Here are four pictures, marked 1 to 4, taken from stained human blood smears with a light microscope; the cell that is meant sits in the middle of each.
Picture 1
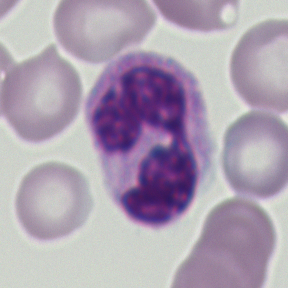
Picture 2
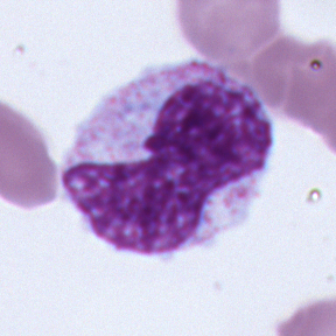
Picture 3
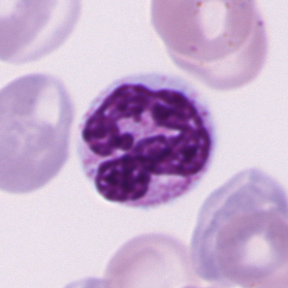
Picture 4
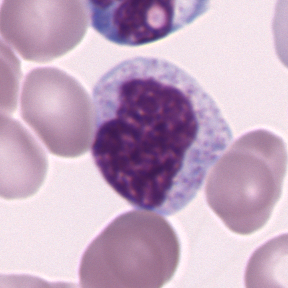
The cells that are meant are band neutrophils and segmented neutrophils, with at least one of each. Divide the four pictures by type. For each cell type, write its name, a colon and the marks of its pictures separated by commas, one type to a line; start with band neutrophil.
band neutrophil: 2, 4
segmented neutrophil: 1, 3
